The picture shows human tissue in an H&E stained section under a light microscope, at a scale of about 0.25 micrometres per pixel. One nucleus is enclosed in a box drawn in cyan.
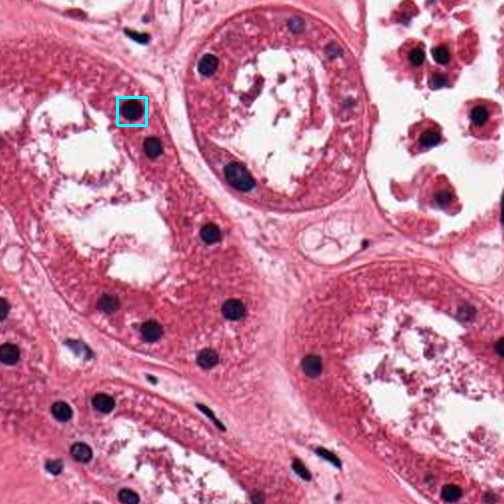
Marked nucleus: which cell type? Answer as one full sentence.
In this image, the nucleus that is marked belongs to a proximal tubule cell.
